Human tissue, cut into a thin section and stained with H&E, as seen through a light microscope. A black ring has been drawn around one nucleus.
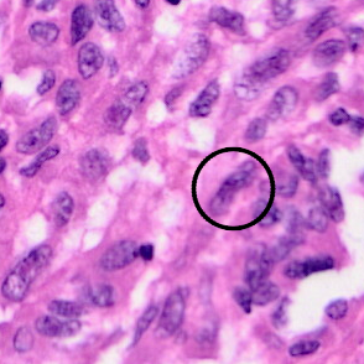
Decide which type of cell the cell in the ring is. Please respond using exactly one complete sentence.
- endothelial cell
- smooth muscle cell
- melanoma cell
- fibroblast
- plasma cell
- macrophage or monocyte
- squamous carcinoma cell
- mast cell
By cell type, the cell in the ring is a melanoma cell.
